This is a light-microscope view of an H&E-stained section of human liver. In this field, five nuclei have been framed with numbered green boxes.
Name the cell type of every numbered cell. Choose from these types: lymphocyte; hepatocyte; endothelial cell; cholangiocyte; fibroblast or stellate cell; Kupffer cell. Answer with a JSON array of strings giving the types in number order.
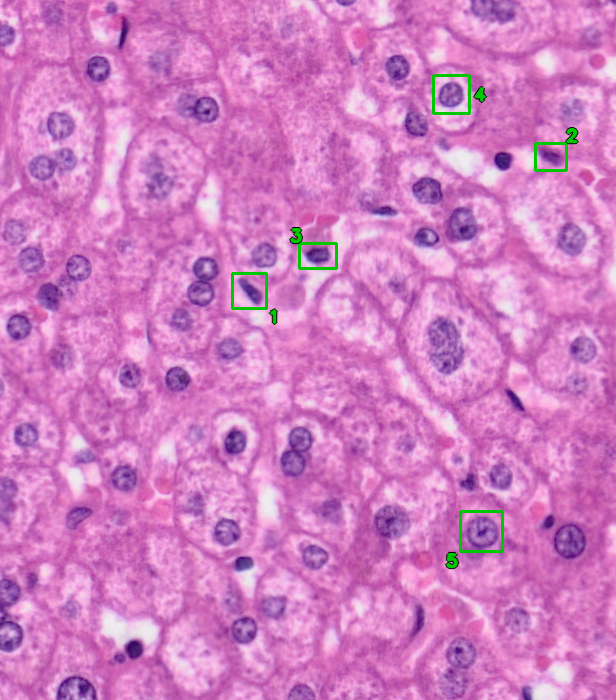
["lymphocyte", "endothelial cell", "Kupffer cell", "hepatocyte", "hepatocyte"]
